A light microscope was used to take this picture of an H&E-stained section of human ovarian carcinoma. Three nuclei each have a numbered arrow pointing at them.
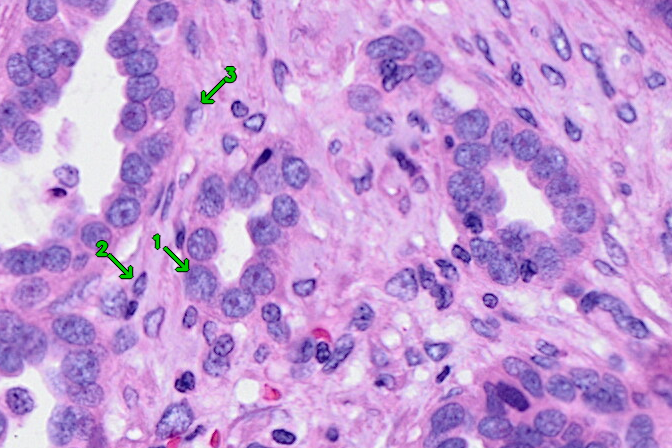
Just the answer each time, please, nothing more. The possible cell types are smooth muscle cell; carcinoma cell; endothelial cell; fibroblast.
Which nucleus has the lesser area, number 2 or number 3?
2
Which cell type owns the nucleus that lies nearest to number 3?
carcinoma cell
